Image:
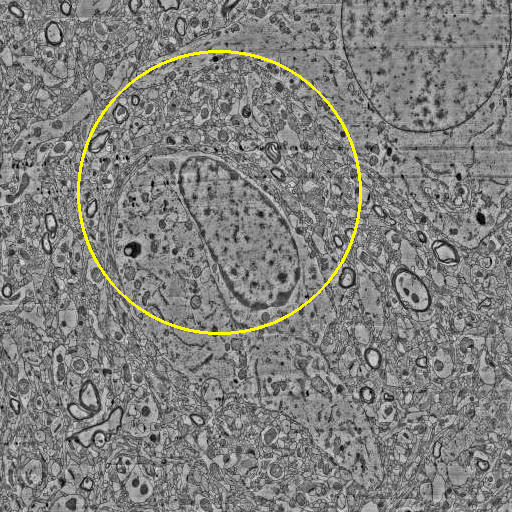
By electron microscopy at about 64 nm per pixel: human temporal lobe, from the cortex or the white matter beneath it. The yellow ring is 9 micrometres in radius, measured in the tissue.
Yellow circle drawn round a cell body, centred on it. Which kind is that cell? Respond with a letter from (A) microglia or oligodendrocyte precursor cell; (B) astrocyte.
A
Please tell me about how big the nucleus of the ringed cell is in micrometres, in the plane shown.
In this plane, the nucleus is roughly 10 by 6 micrometres.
